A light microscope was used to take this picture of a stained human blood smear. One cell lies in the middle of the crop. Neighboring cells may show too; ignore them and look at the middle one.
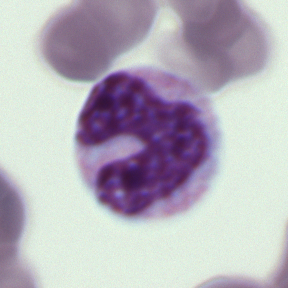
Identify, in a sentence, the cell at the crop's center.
The cell in the middle of the field of view is a band neutrophil.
